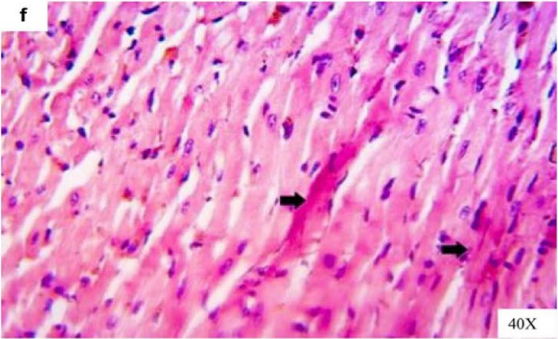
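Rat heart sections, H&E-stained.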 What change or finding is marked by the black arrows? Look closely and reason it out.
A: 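Hyalinized. The arrows point to fibers that stain a deeper, homogeneous pink-red. Those fibers look glassy, without striations.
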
